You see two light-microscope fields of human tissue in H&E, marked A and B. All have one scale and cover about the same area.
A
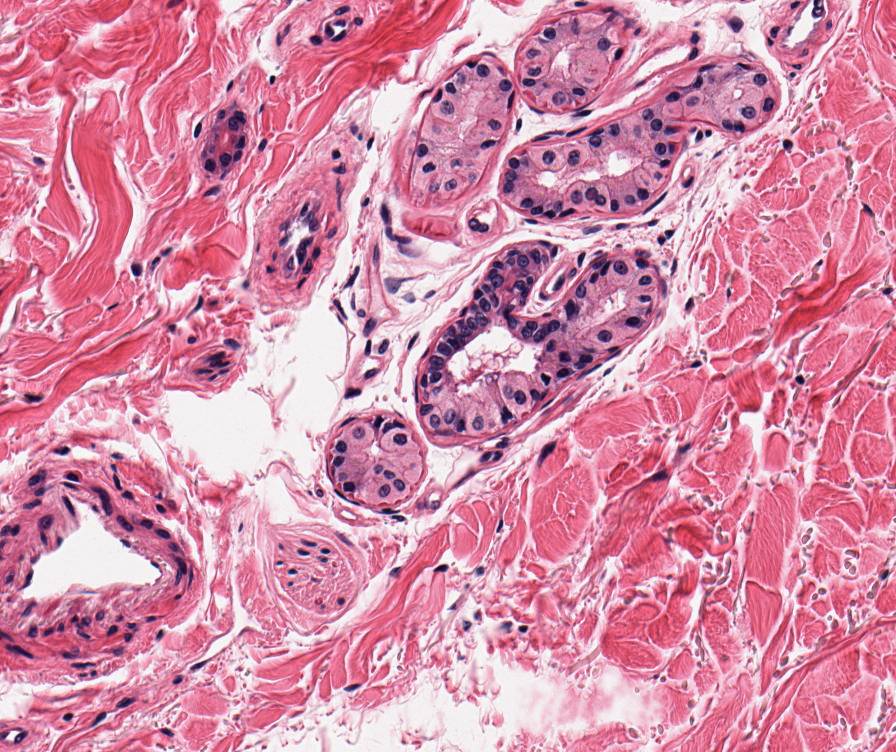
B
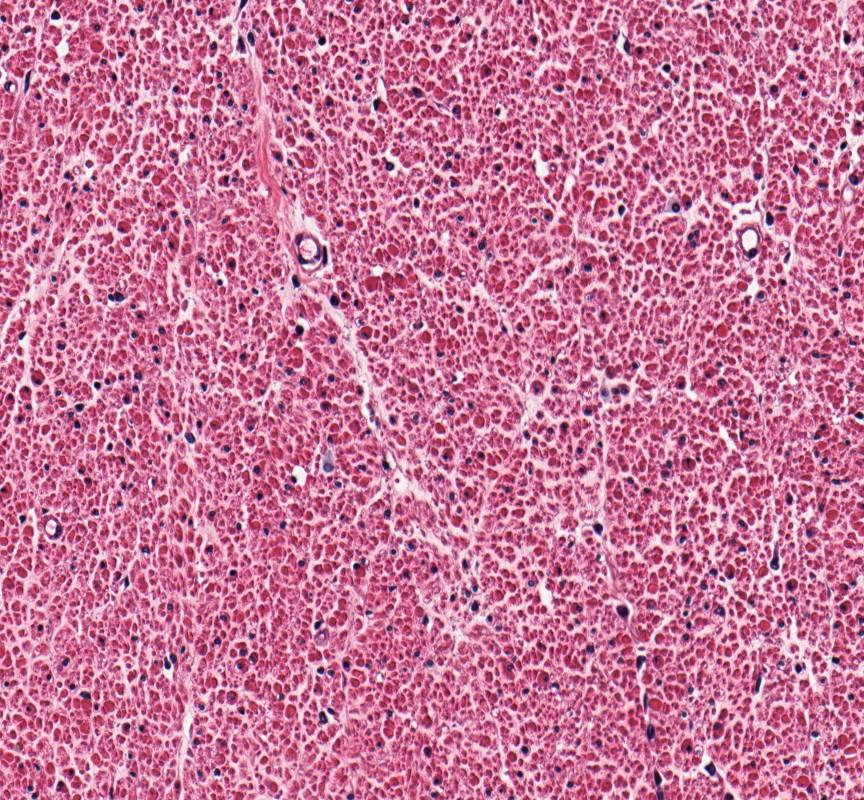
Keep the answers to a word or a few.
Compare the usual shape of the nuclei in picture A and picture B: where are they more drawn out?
A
